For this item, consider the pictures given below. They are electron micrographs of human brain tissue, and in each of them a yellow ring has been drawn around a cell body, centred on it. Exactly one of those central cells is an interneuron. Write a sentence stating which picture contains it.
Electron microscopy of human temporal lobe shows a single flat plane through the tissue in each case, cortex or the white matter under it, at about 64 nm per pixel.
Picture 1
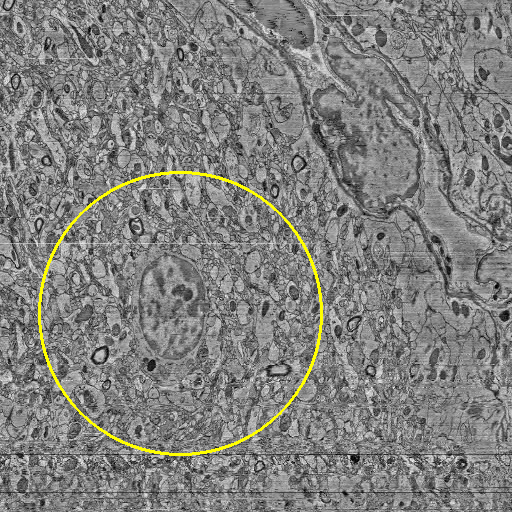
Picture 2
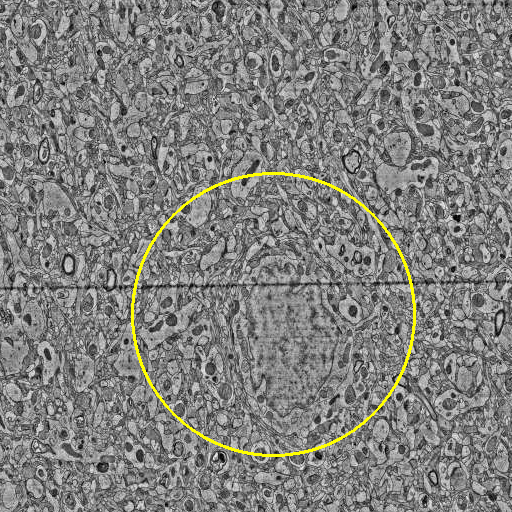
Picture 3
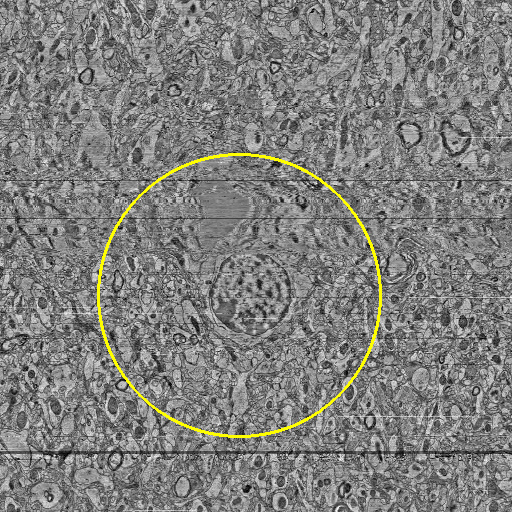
It is in Picture 2.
